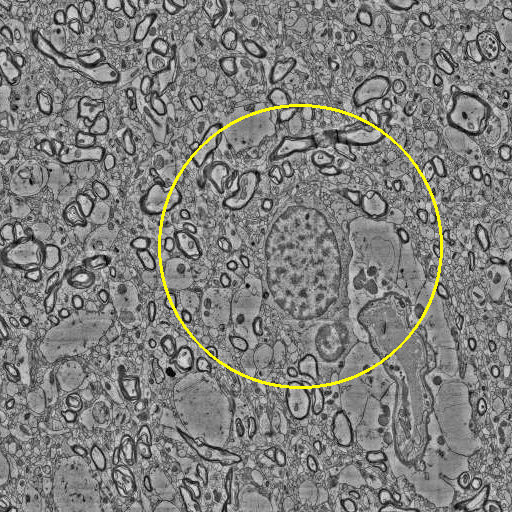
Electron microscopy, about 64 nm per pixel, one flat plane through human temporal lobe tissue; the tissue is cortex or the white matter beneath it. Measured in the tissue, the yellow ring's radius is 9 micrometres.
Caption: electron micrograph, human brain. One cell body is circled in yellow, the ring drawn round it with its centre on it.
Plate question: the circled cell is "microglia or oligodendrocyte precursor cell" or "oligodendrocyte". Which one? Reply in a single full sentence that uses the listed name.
The yellow ring on the plate is centred on an oligodendrocyte, going by the listed names.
